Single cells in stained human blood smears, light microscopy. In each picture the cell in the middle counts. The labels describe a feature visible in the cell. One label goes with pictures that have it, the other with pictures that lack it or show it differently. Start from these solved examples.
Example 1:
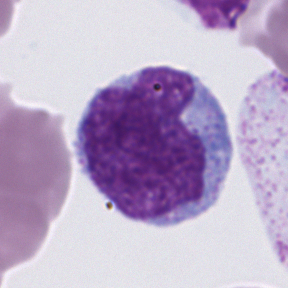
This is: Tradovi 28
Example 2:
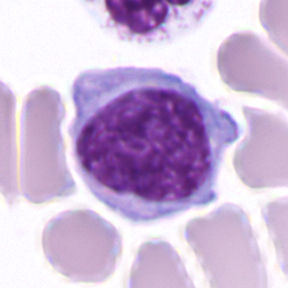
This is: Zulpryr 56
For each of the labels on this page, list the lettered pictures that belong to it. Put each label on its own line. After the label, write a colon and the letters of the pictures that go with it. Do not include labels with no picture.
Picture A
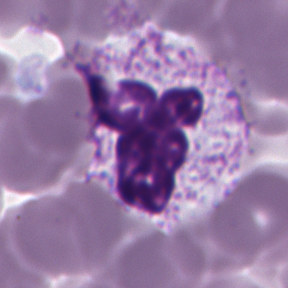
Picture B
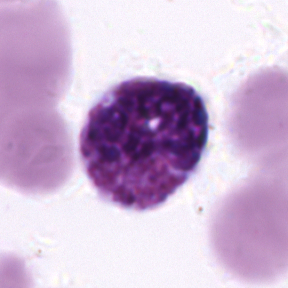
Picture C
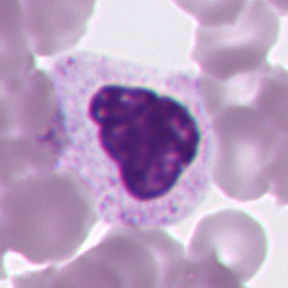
Zulpryr 56: A, B, C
